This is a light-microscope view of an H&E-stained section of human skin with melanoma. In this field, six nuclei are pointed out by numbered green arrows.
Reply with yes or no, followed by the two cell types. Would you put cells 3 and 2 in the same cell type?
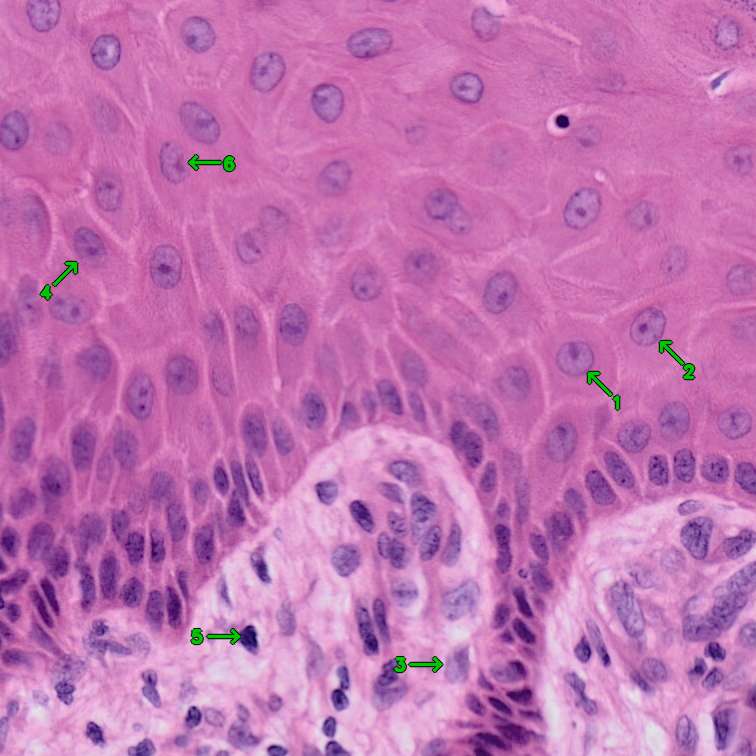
No, unlike cell 3, which is a fibroblast or myofibroblast, cell 2 is a keratinocyte.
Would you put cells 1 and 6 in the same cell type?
Yes, in terms of cell type, cells 1 and 6 are both keratinocytes.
